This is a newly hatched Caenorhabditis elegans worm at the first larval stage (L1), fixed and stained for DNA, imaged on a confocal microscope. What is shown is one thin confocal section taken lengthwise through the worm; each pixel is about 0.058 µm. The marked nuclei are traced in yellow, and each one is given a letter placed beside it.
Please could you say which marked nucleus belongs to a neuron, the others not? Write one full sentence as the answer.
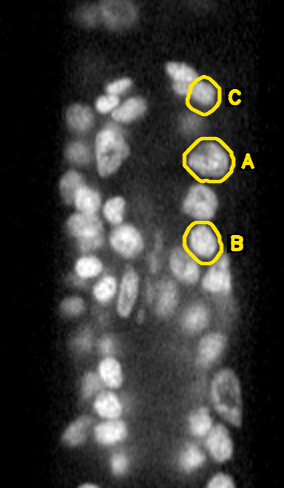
The one from a neuron is B.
